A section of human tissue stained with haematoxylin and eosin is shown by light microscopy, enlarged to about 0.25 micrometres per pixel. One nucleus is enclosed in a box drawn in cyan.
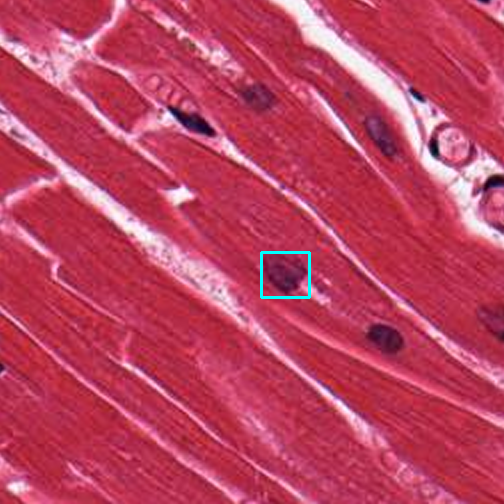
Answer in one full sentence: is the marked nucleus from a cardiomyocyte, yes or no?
Yes, the nucleus singled out in the image belongs to a cardiomyocyte.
